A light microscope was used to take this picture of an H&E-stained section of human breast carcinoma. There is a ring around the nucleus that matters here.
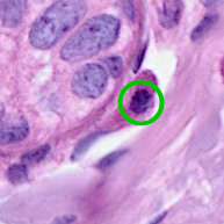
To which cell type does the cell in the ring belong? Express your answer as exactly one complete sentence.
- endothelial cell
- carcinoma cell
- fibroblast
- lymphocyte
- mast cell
Within this tissue, the cell in the ring is a mast cell.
